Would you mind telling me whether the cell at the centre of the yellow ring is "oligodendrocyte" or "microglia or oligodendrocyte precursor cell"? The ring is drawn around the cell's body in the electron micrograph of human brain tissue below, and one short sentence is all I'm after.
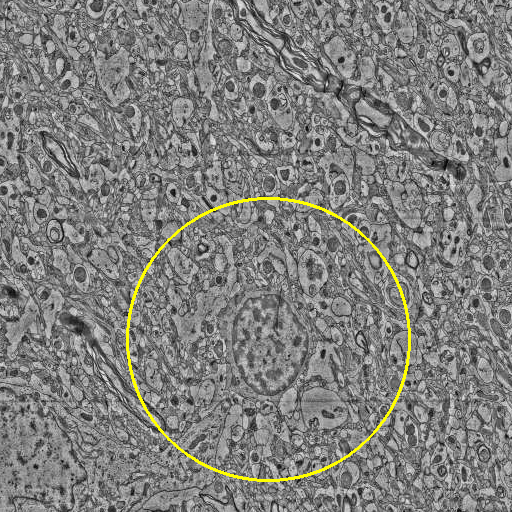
In the centre of the ring lies an oligodendrocyte.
